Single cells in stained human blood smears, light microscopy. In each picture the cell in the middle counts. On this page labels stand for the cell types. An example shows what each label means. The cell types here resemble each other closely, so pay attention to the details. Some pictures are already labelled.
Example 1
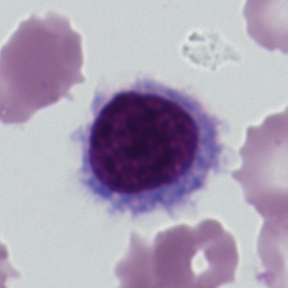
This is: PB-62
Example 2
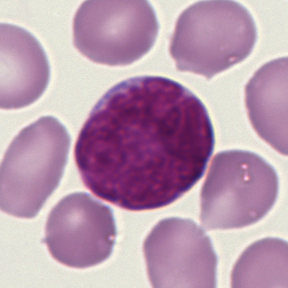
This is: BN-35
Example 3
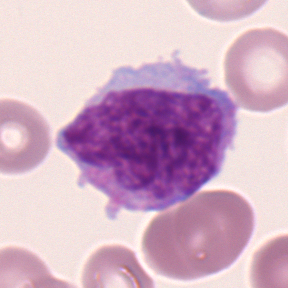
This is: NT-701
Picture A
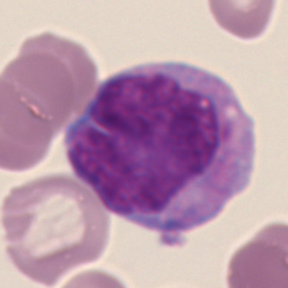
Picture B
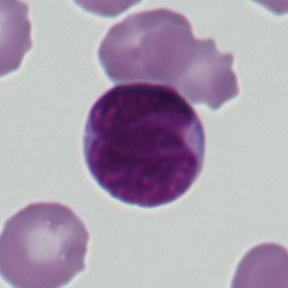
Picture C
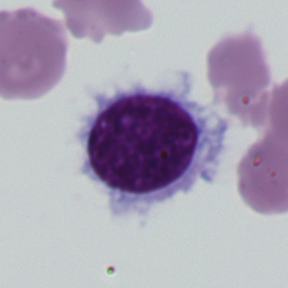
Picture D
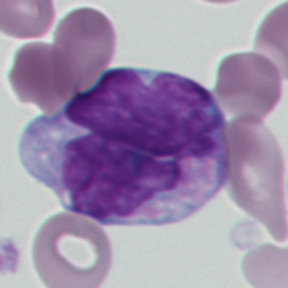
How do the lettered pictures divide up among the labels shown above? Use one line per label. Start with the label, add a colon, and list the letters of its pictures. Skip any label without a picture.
PB-62: C
BN-35: B
NT-701: A, D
